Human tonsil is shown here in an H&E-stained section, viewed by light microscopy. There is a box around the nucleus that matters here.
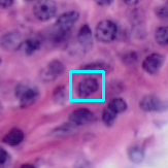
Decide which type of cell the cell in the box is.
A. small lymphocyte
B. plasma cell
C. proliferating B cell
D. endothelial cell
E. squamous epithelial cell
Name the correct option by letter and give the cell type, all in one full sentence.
In this section the cell in the box is a plasma cell; option B is therefore correct.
